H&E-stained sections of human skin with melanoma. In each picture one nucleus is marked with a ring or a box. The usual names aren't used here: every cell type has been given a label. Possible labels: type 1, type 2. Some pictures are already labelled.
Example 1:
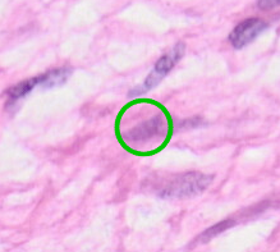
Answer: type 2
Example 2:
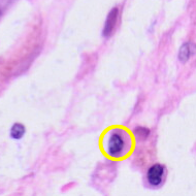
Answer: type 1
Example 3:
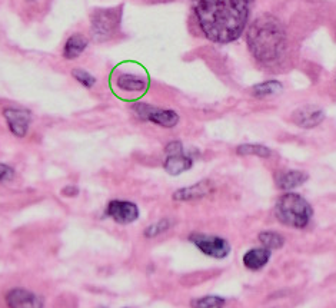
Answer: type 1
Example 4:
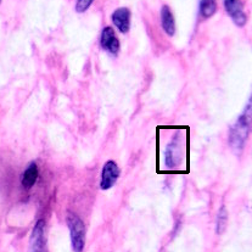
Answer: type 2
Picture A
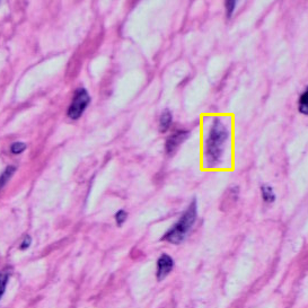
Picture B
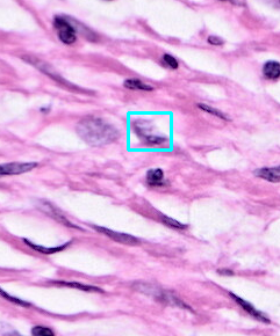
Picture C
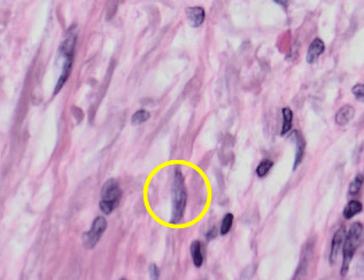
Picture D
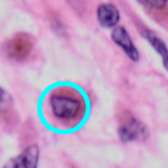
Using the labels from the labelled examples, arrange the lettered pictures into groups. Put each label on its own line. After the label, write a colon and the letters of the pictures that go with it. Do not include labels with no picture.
type 1: D
type 2: A, B, C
